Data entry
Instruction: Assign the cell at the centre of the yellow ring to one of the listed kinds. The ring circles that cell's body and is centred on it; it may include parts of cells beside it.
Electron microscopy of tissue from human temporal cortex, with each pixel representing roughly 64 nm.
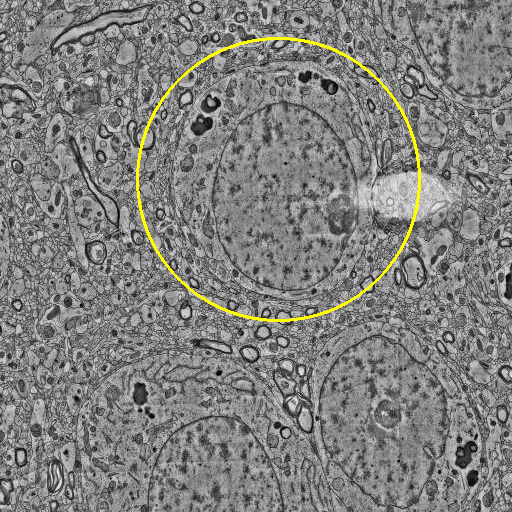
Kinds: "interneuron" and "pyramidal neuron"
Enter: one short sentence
The centre of the ring falls on a pyramidal neuron.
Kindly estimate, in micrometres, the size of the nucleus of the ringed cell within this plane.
The nucleus is approximately 12 micrometers long by 9 micrometers wide in this plane.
